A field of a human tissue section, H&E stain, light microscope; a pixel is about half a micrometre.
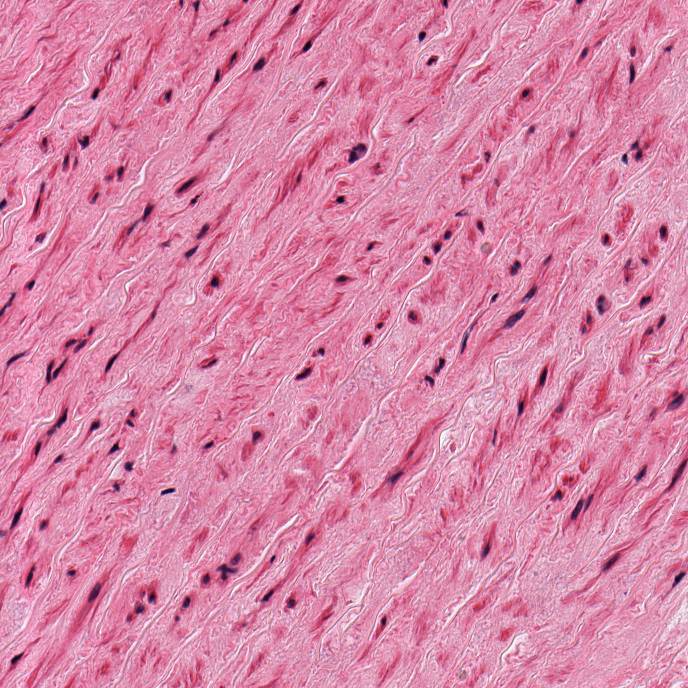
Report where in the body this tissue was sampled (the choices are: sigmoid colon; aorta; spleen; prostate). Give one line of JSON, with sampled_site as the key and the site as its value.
{"sampled_site": "aorta"}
